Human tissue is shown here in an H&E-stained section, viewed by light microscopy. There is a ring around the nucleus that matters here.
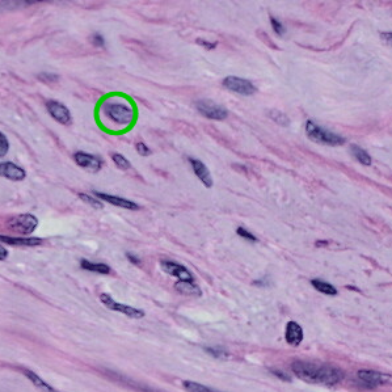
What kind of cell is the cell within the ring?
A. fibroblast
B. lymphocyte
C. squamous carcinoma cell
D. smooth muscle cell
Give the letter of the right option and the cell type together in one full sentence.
The correct option, D, describes the cell within the ring as a smooth muscle cell.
